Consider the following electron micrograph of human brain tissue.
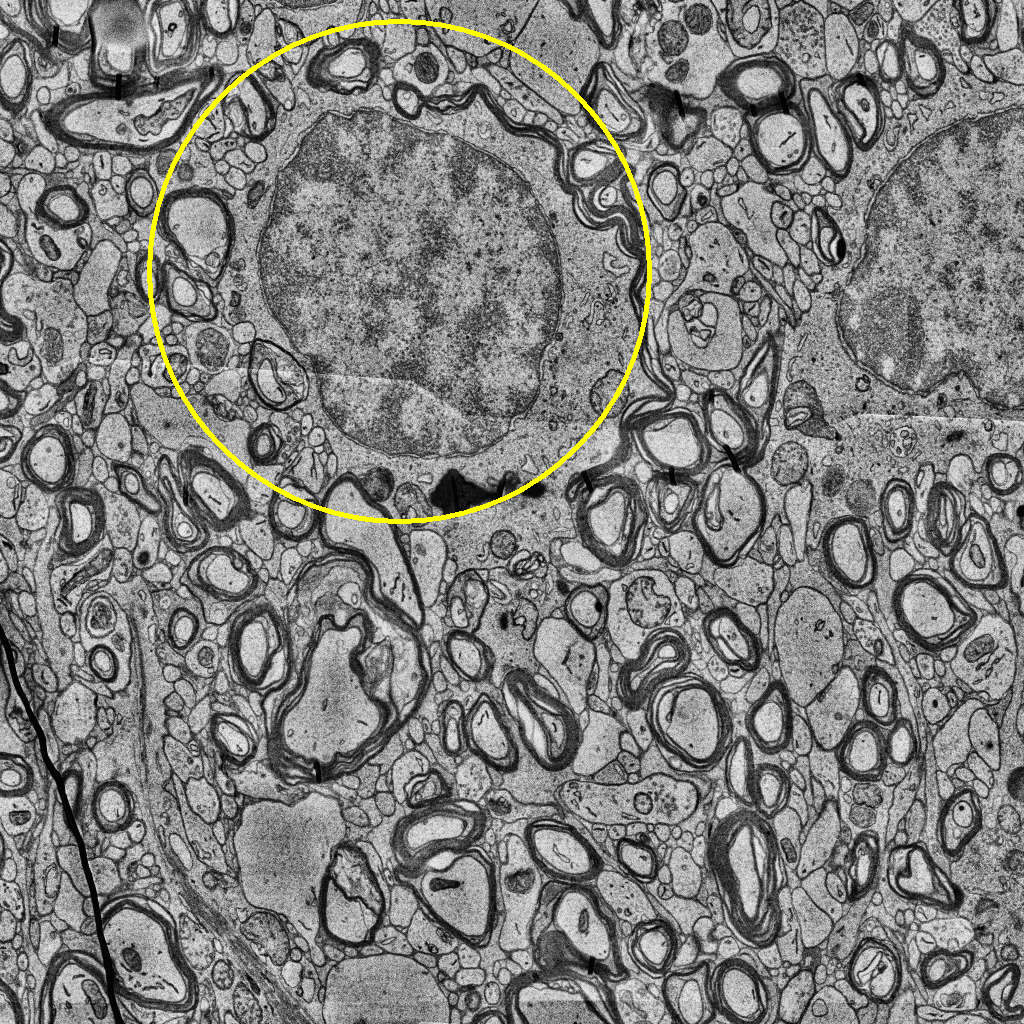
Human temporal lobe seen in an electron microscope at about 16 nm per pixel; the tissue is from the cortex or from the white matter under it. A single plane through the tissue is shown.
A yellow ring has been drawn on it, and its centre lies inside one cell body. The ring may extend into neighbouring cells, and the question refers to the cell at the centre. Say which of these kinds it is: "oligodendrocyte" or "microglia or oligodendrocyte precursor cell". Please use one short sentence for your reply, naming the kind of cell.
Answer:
The centre of the ring falls on an oligodendrocyte.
